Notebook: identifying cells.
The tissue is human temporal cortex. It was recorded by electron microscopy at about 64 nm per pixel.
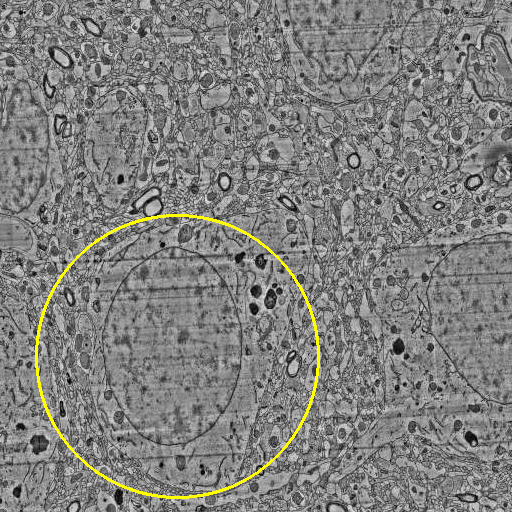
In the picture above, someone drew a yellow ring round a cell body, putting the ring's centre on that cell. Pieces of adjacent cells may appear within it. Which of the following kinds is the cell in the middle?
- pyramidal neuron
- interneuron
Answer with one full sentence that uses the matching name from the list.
In this picture, the yellow ring is centred on the body of a pyramidal neuron.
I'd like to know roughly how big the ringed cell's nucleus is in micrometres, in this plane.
In this plane, the nucleus is roughly 12 by 9 micrometres.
